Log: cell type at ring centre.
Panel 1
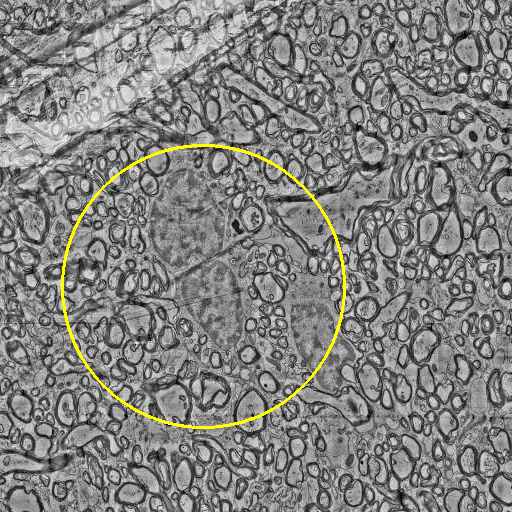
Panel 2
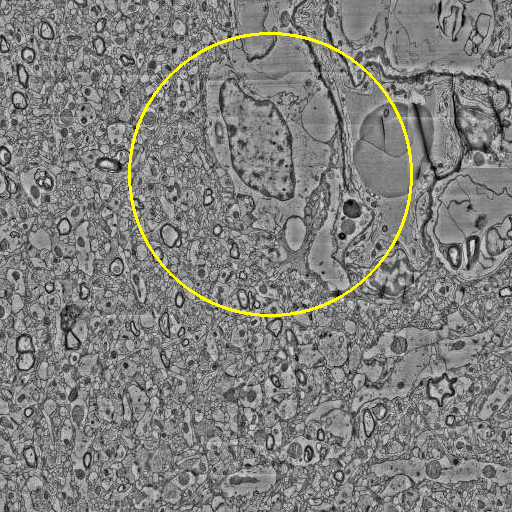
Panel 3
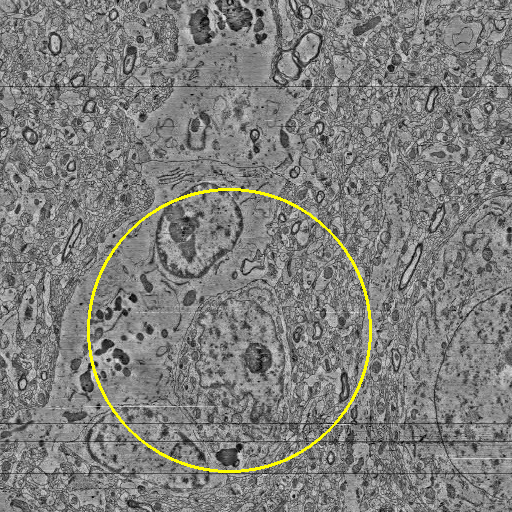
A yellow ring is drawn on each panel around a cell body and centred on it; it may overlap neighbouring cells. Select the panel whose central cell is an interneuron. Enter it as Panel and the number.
Panel 3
